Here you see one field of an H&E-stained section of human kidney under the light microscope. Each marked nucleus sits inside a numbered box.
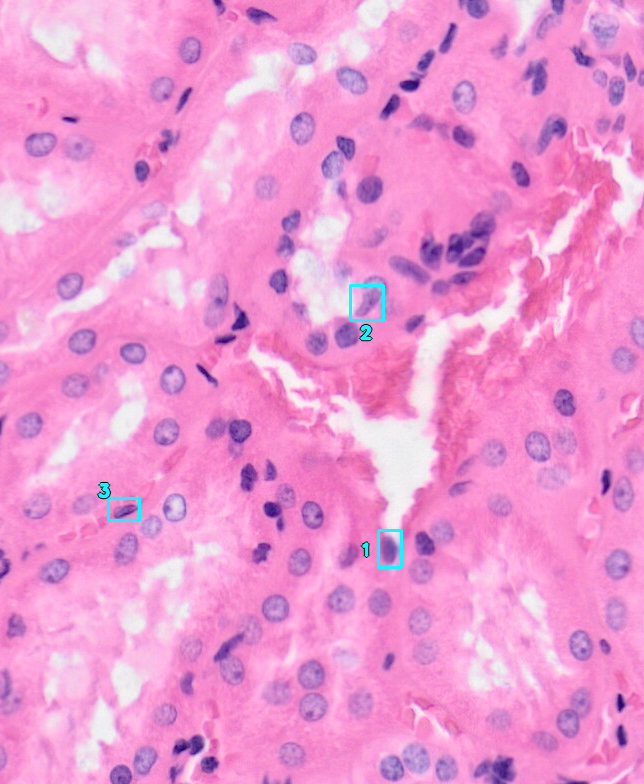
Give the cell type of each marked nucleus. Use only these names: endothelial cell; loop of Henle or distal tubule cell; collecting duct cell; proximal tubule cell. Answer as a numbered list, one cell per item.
1. endothelial cell
2. collecting duct cell
3. endothelial cell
